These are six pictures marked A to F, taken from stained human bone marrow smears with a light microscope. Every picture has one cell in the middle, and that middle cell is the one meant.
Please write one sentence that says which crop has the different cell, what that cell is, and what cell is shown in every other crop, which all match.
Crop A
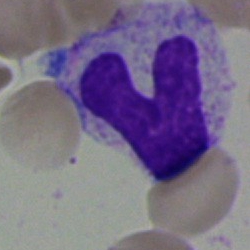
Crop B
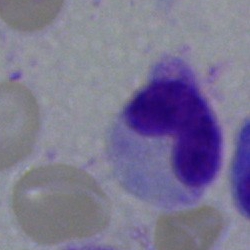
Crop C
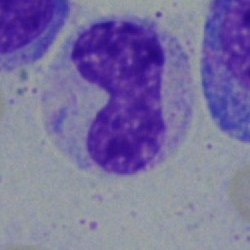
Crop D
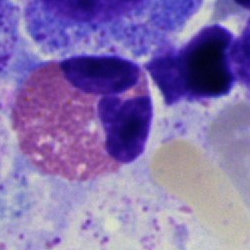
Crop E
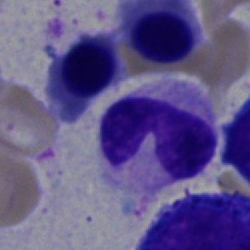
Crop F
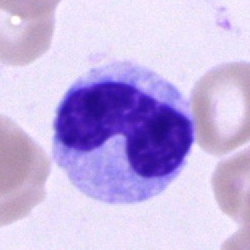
Crop D differs, its cell being an eosinophil, whereas the other crops show band neutrophils.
